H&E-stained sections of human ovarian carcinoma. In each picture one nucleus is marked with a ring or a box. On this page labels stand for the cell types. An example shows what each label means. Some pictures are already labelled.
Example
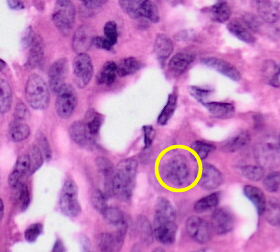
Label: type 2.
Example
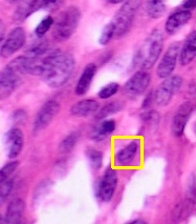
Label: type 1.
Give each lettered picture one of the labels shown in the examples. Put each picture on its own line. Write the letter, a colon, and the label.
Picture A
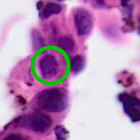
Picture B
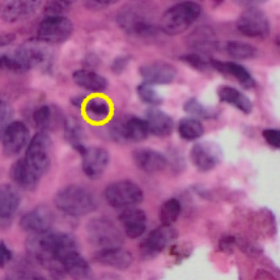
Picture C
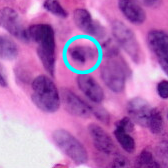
A: type 2.
B: type 1.
C: type 1.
